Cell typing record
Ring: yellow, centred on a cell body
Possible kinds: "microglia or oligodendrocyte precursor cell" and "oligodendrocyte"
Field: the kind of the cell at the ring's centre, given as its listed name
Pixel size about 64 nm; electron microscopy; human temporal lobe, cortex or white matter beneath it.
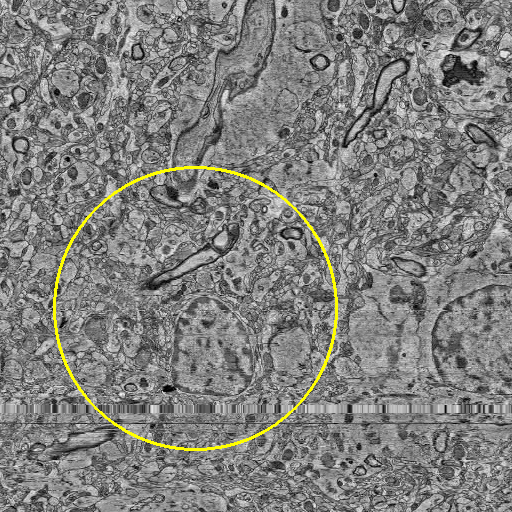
microglia or oligodendrocyte precursor cell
